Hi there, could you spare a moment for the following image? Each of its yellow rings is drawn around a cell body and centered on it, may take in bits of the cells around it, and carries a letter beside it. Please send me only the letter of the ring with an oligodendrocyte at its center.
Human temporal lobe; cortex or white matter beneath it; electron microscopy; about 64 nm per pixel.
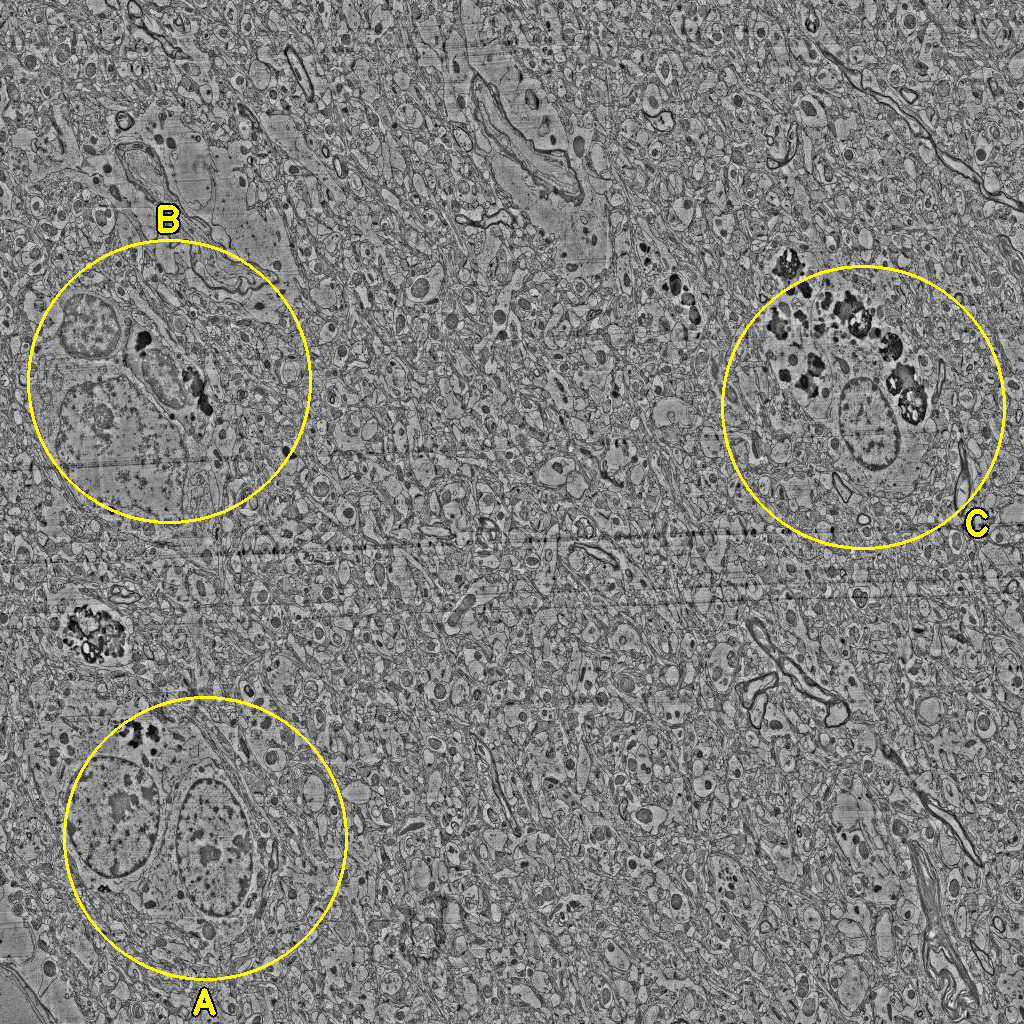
B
